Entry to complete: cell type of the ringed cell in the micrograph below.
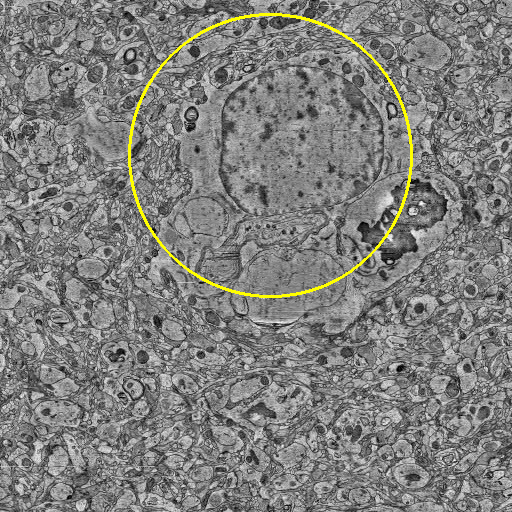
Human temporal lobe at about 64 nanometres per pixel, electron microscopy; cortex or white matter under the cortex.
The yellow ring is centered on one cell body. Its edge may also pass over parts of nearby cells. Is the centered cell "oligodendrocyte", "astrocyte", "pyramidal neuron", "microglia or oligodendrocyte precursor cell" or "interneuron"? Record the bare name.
astrocyte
